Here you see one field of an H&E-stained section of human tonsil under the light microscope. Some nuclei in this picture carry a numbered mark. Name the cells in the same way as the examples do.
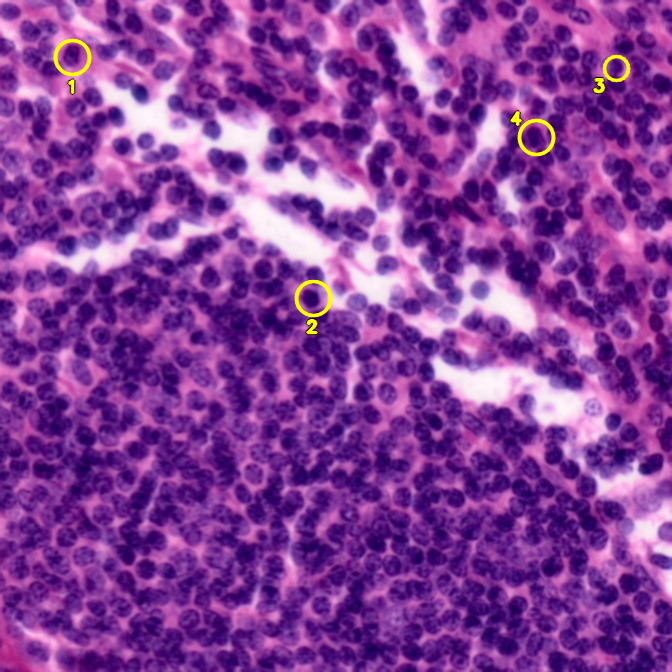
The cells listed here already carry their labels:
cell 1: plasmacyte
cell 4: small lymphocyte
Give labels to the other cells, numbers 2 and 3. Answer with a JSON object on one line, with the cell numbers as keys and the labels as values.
{"2": "small lymphocyte", "3": "small lymphocyte"}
